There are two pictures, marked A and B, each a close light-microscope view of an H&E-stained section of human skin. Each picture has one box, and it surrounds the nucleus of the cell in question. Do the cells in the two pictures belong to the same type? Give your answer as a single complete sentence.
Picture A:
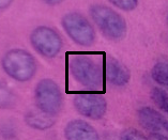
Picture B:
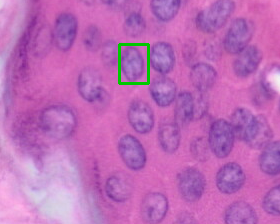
Yes, both cells are suprabasal keratinocytes.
